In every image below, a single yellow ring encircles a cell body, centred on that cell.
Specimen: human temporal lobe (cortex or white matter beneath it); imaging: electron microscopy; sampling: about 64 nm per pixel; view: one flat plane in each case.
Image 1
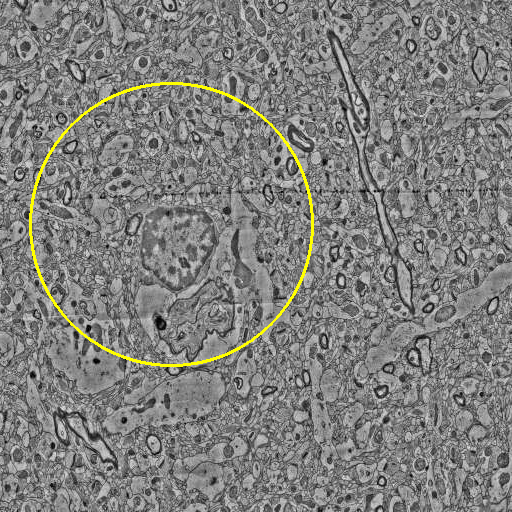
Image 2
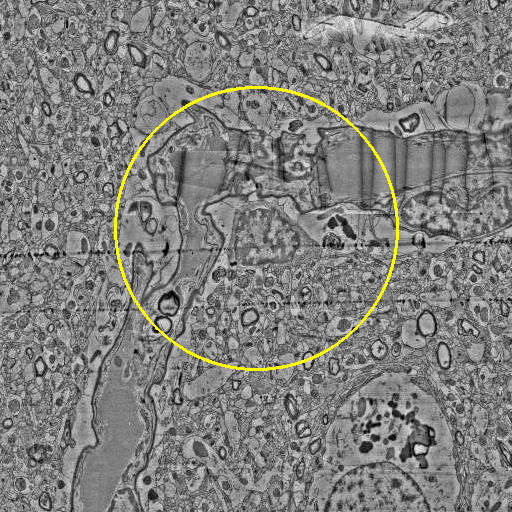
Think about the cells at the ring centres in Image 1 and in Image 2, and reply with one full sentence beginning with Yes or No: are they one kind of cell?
Yes, the cells centred in the rings of Image 1 and Image 2 are one kind of cell.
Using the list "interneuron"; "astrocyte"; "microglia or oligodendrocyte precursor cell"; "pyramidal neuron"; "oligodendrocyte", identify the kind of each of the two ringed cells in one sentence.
Each of the two rings surrounds an oligodendrocyte.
